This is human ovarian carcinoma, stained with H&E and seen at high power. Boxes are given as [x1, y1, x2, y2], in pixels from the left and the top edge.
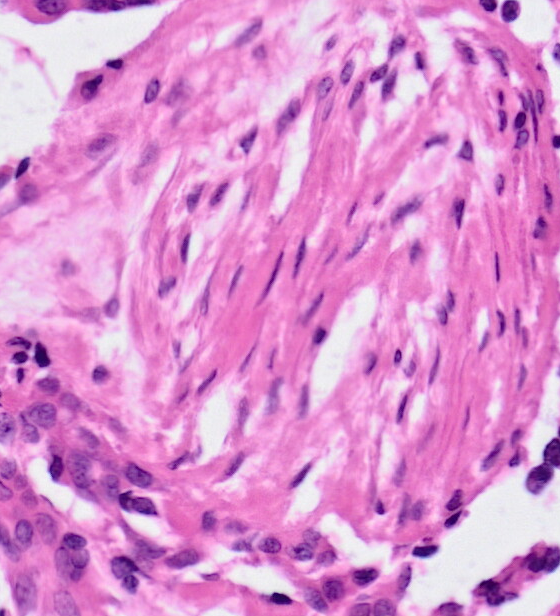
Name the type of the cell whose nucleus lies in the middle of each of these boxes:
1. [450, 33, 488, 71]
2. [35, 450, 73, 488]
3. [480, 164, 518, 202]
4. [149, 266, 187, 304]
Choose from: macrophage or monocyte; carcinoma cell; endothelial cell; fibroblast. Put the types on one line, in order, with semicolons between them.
fibroblast; carcinoma cell; fibroblast; fibroblast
